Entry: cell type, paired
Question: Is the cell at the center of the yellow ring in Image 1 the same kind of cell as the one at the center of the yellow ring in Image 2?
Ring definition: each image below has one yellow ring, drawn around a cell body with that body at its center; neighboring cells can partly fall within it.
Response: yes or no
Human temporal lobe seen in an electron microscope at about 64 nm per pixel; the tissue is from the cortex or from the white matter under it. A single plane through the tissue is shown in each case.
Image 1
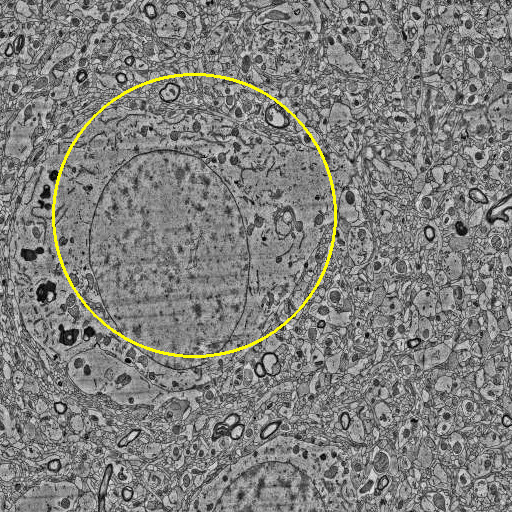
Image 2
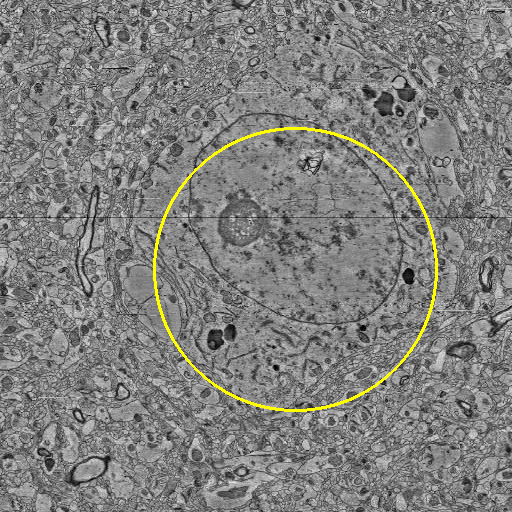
yes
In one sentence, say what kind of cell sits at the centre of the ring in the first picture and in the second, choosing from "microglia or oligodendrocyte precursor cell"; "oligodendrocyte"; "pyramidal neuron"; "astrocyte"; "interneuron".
In each of the two pictures, the ringed cell is a pyramidal neuron.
